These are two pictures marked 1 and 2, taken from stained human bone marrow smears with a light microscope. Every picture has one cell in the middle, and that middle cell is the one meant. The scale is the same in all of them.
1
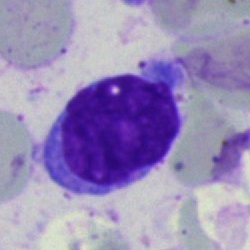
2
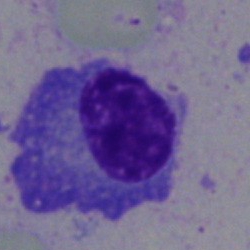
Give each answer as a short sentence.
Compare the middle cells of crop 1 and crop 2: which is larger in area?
The cell in crop 2 is larger, with about 1.5 times the area of the one in crop 1.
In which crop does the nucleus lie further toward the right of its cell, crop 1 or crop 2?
The nucleus in crop 2 lies further toward the right of its cell.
